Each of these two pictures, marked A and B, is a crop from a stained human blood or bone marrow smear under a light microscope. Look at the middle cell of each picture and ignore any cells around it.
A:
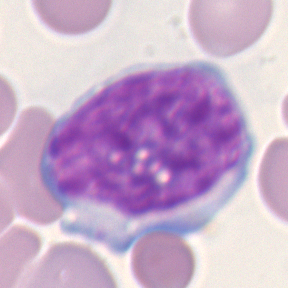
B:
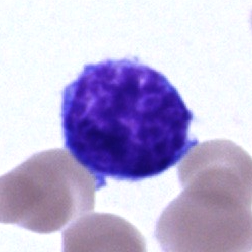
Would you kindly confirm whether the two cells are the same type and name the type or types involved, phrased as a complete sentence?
Yes, blasts are the cells shown in both crops.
